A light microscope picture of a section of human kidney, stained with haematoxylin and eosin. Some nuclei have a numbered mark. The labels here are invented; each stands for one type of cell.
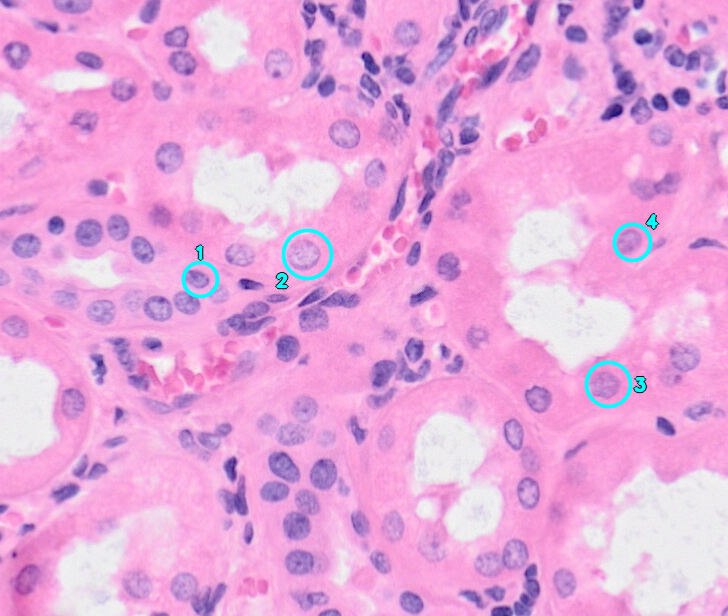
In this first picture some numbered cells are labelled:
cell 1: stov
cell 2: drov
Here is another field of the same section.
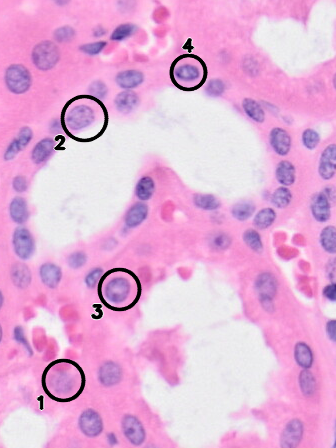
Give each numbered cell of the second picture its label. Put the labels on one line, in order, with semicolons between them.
drov; stov; drov; stov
